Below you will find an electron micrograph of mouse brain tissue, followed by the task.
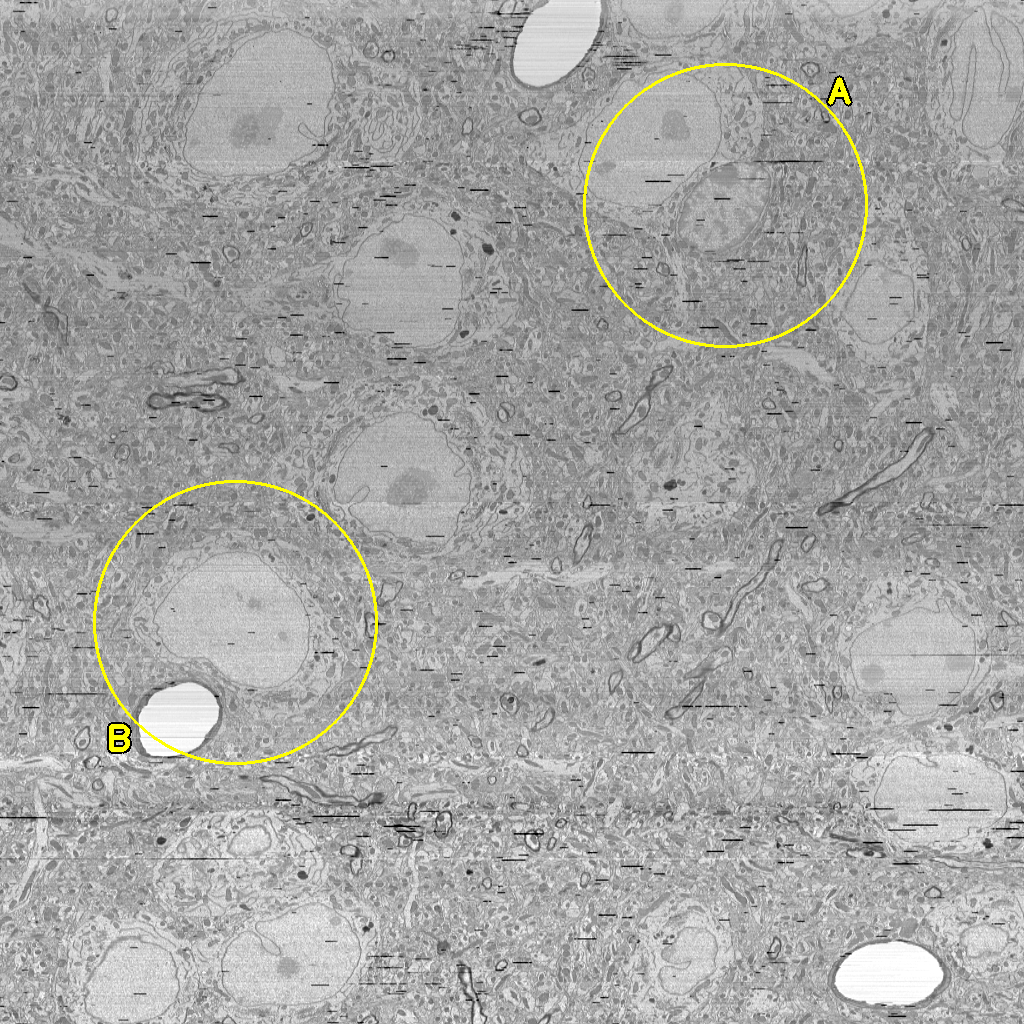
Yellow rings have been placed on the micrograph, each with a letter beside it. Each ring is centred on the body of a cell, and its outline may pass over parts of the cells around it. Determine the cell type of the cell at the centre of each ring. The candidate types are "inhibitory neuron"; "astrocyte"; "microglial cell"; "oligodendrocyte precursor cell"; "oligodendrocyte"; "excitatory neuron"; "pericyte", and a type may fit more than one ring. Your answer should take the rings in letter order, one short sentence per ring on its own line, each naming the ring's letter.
The centre of ring A falls on an oligodendrocyte.
The centre of ring B falls on an excitatory neuron.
